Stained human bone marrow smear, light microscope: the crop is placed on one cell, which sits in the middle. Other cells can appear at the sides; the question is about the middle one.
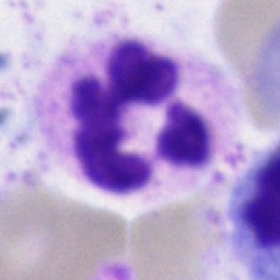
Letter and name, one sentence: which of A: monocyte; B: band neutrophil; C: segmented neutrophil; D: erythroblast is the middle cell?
Option C is right in identifying the central cell as a segmented neutrophil.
